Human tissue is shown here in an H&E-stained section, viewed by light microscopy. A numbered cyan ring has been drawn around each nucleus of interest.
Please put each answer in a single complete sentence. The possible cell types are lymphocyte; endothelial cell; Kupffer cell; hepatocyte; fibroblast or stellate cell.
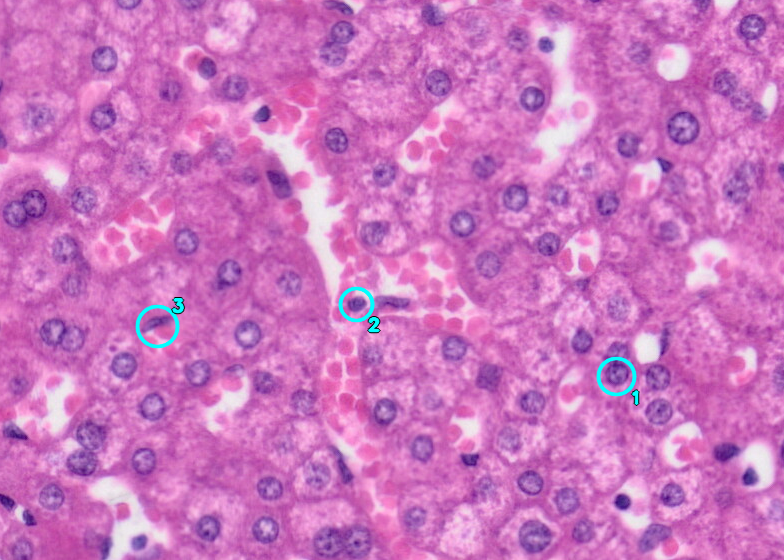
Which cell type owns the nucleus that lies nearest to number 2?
The nearest nucleus to number 2 belongs to a Kupffer cell.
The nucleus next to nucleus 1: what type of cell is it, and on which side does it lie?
Lying above nucleus 1, the nearest nucleus is that of a hepatocyte.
